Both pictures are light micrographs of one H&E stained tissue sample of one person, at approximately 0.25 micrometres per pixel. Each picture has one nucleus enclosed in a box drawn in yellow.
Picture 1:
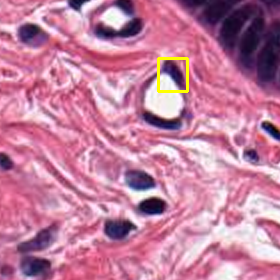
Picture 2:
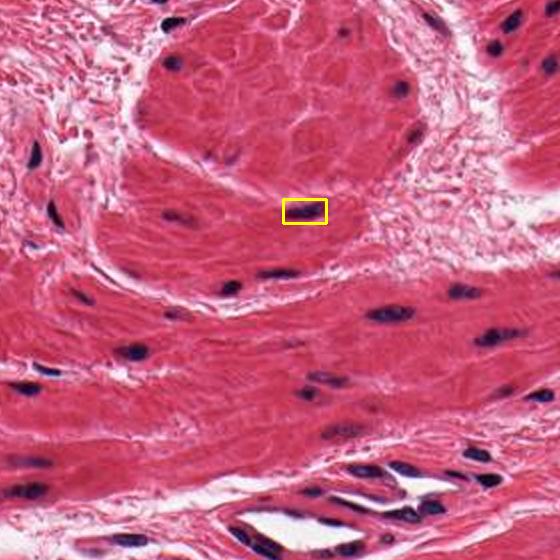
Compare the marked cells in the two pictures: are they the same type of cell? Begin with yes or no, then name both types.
No, the first is an endothelial cell and the second a smooth muscle cell.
